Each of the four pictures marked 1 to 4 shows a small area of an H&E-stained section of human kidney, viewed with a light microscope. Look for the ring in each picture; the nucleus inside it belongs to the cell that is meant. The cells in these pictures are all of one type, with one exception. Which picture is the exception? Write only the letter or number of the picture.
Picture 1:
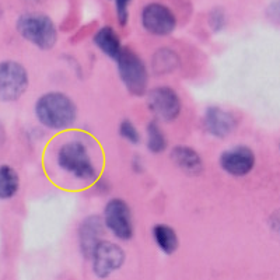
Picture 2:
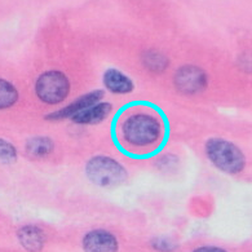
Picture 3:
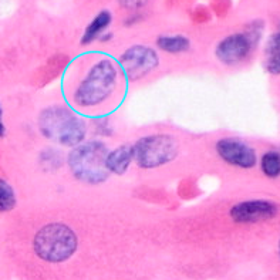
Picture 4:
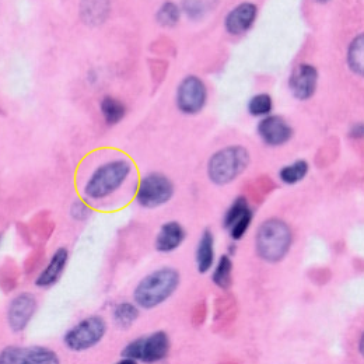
2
